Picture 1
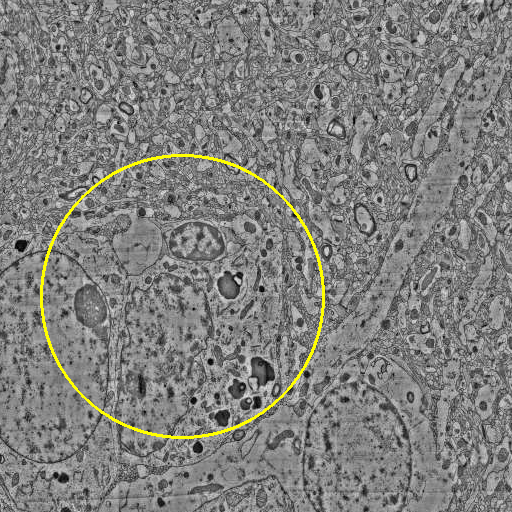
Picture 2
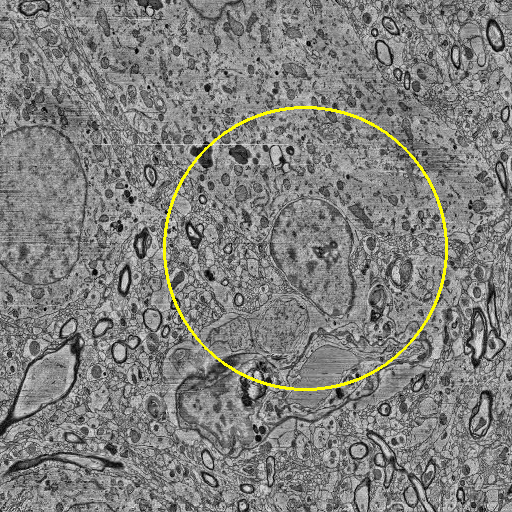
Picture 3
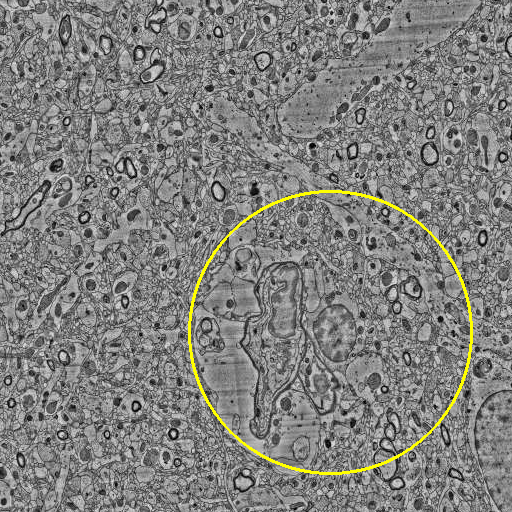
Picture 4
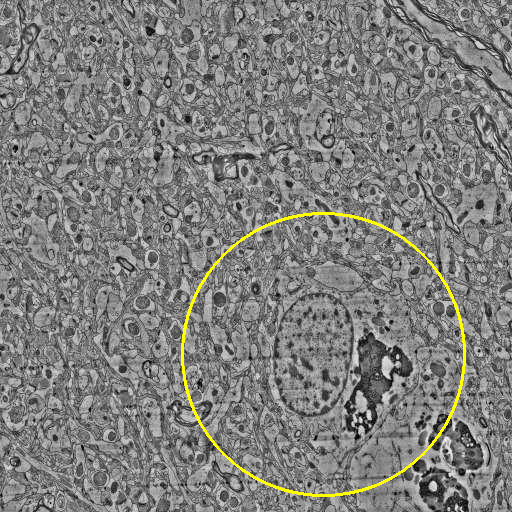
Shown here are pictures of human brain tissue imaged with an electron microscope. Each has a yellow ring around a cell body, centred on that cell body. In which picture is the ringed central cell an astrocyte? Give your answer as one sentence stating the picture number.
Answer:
My answer is picture 4, where the ringed cell at the centre is the one sought.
